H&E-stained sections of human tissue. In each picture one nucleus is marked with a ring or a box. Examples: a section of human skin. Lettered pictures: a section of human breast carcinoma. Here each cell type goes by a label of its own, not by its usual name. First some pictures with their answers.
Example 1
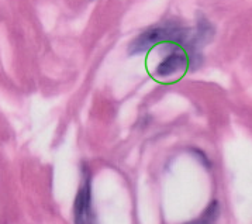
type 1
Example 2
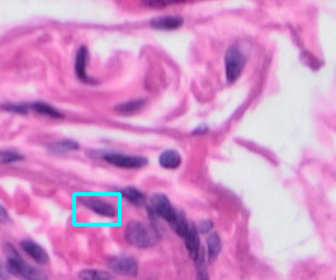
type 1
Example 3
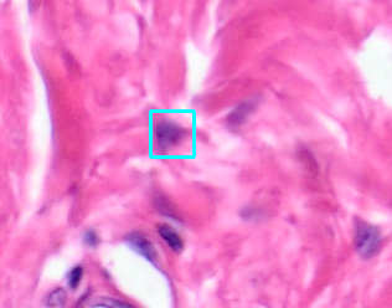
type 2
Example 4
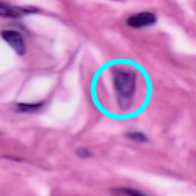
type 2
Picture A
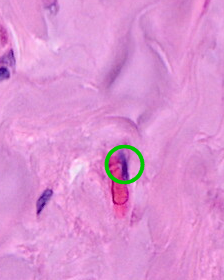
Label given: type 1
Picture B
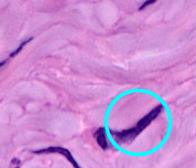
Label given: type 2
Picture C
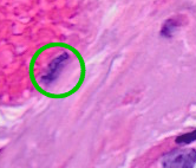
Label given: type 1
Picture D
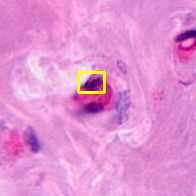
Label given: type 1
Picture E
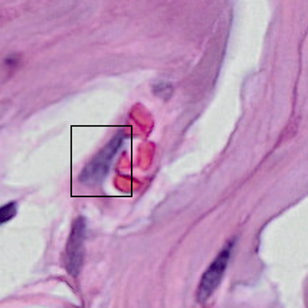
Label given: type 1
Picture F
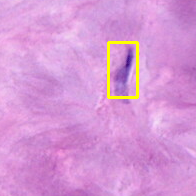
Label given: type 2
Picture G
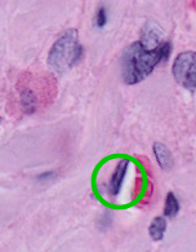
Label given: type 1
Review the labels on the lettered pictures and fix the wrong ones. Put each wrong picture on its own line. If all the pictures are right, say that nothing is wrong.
No label is wrong.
